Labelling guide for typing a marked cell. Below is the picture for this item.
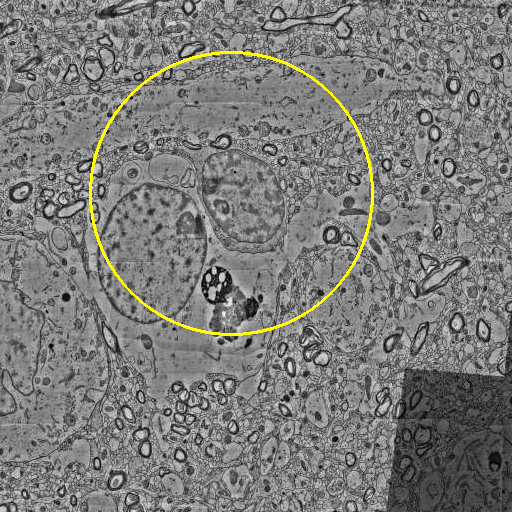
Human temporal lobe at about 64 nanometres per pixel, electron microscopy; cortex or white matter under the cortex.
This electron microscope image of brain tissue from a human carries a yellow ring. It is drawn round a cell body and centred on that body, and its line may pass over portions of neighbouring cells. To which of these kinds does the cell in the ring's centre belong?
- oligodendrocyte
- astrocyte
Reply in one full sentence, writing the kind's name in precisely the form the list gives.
Here we have an oligodendrocyte at the centre of the yellow ring in the picture.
